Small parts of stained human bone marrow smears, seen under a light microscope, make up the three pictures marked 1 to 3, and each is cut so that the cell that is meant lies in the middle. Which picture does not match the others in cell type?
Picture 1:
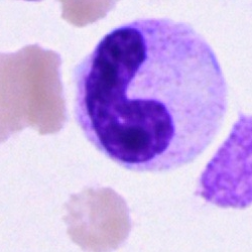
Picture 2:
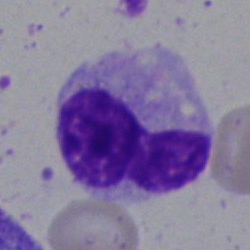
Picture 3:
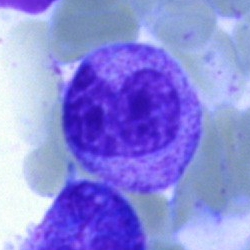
3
